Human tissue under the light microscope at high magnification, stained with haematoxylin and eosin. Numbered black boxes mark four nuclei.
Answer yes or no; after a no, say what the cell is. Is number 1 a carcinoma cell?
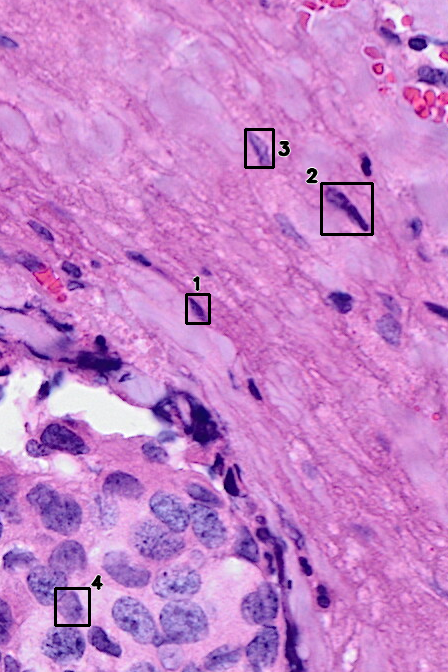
No, it is a fibroblast.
